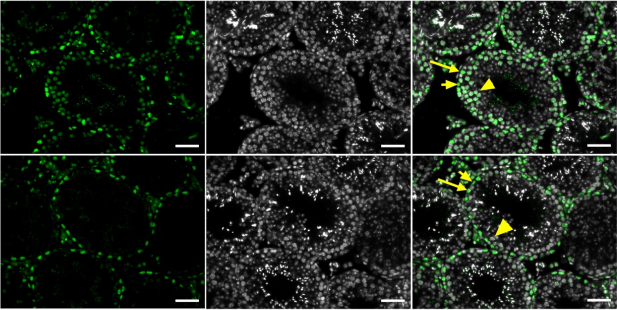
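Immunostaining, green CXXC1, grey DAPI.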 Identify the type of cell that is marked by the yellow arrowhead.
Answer: Spermatocytes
